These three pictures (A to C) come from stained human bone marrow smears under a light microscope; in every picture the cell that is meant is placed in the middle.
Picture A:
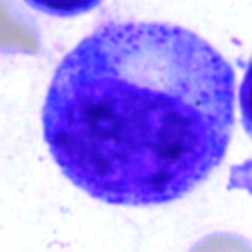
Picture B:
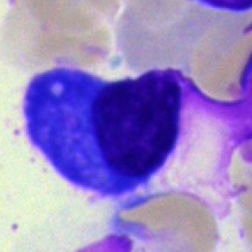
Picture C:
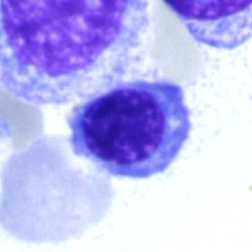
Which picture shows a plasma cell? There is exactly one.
B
